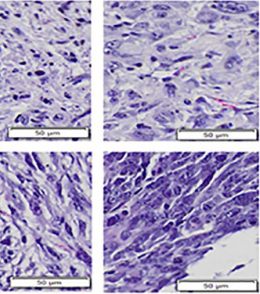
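The four small fields show tumor tissue made of densely packed cells stained with hematoxylin and eosin. The cells lie in solid sheets with no clear glands or lumens. Many are elongated or spindle-like, and some are more rounded. Their nuclei are dark purple, oval to elongated, and vary in size and shape. The cytoplasm is pale pink to lilac and the borders between cells are indistinct.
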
